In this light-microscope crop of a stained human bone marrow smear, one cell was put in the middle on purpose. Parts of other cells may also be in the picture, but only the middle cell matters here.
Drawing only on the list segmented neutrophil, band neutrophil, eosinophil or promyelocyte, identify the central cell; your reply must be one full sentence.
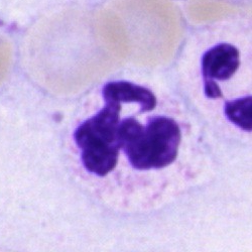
Here the cell in the middle is a segmented neutrophil.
